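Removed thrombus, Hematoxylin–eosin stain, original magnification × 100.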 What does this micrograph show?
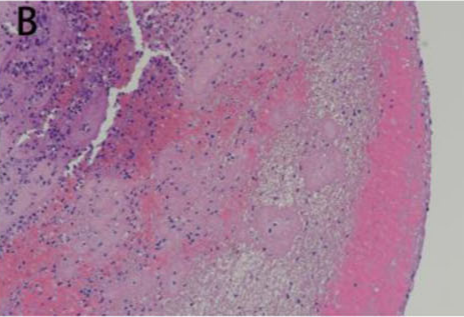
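One corner is crowded with dark purple nuclei of neutrophils. Elsewhere, broad pink bands alternate with paler, finely granular regions. At the rounded outer edge lies a layer of deeper, more uniform pink.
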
